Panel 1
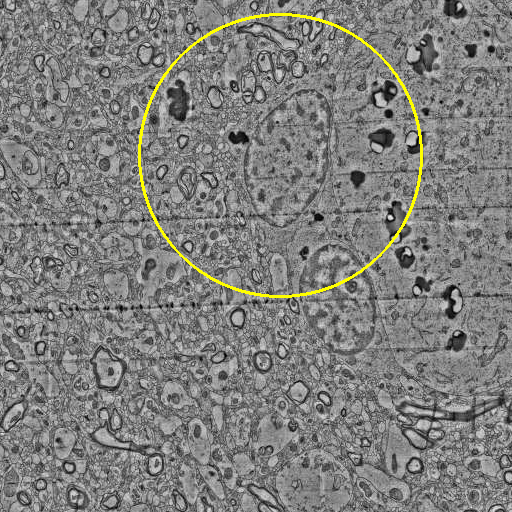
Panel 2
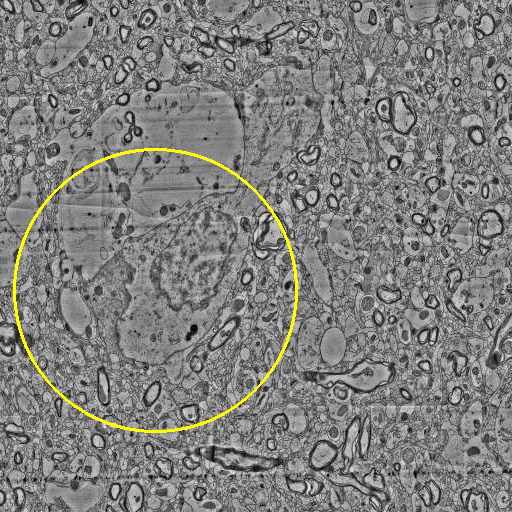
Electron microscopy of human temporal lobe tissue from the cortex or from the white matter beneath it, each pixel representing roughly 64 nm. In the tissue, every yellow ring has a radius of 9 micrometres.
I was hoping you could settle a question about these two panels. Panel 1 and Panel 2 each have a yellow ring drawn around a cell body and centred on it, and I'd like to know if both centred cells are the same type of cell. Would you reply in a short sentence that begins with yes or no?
Yes, both are the same type of cell.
